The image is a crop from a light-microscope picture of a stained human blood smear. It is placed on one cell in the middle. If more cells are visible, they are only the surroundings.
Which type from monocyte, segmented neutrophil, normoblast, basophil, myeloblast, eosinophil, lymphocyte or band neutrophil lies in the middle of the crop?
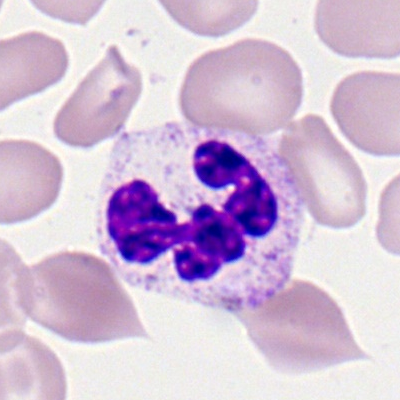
segmented neutrophil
